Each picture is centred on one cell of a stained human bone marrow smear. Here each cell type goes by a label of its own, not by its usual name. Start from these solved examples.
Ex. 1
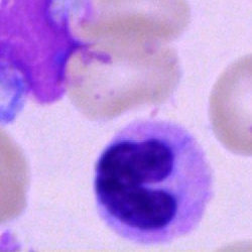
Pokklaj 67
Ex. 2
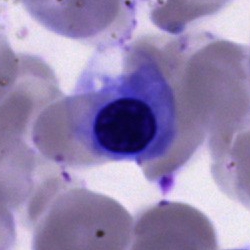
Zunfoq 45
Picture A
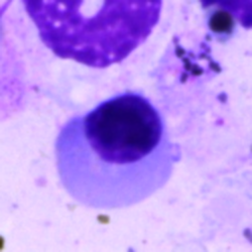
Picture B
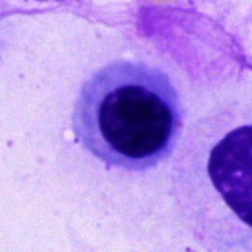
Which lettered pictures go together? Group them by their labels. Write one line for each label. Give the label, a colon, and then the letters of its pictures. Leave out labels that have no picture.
Zunfoq 45: A, B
